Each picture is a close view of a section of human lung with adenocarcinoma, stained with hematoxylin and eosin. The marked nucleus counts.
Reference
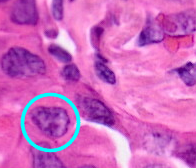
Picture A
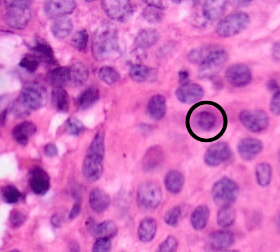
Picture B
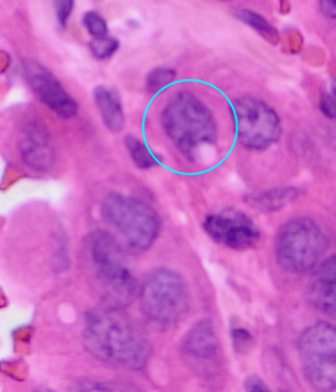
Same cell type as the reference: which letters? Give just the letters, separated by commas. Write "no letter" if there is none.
B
